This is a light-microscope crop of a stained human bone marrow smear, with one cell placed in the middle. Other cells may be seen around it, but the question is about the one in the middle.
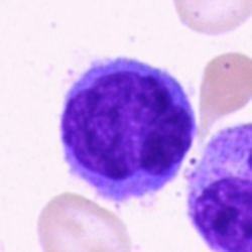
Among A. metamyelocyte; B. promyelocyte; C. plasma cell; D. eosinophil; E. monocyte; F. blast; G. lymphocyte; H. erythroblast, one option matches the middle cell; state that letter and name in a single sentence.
Located in the middle of the crop is a monocyte, and option E is therefore correct.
